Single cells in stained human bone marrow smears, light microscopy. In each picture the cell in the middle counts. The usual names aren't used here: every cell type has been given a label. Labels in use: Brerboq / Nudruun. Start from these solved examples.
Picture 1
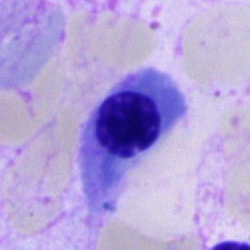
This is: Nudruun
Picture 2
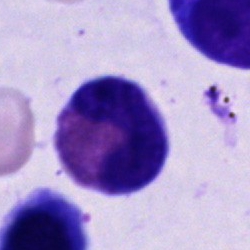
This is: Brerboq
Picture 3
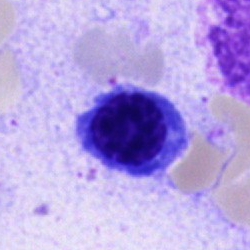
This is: Nudruun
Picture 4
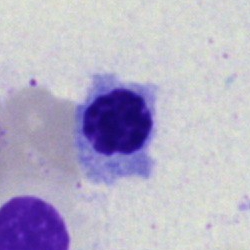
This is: Nudruun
